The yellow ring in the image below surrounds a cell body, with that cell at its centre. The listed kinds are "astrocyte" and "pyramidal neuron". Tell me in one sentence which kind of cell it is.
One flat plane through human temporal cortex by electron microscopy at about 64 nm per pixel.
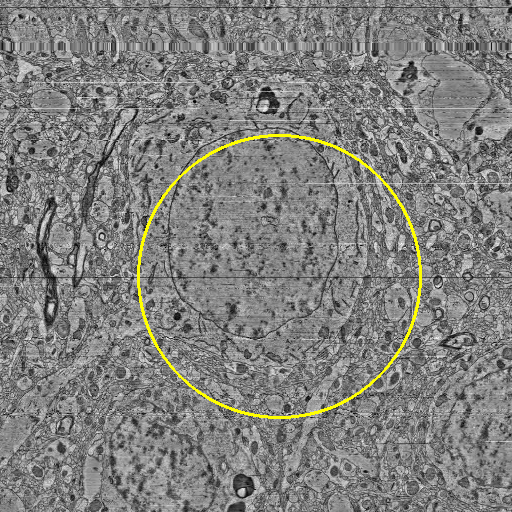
The centre of the ring holds a pyramidal neuron.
